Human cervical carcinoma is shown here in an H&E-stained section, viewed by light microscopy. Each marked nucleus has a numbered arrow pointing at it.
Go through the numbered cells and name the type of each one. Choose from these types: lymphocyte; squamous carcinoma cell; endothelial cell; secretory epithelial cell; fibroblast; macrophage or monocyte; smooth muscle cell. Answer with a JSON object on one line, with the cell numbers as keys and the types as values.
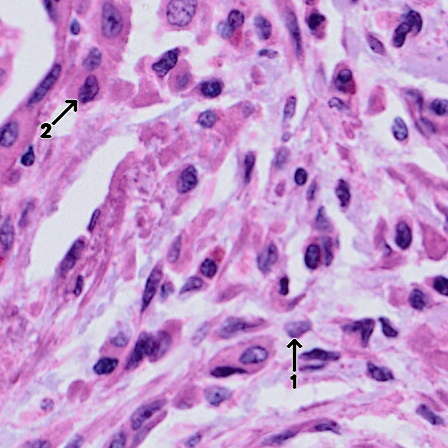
{"1": "fibroblast", "2": "macrophage or monocyte"}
